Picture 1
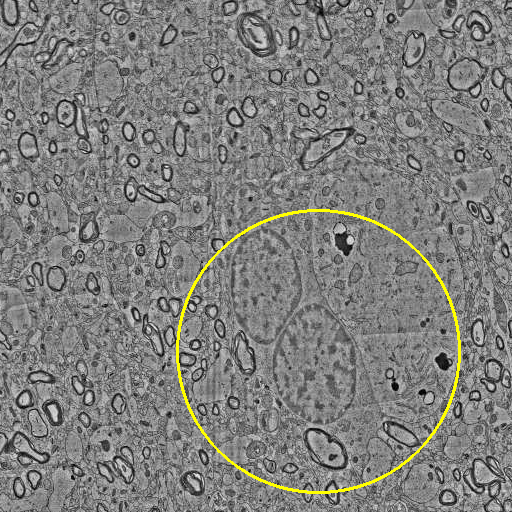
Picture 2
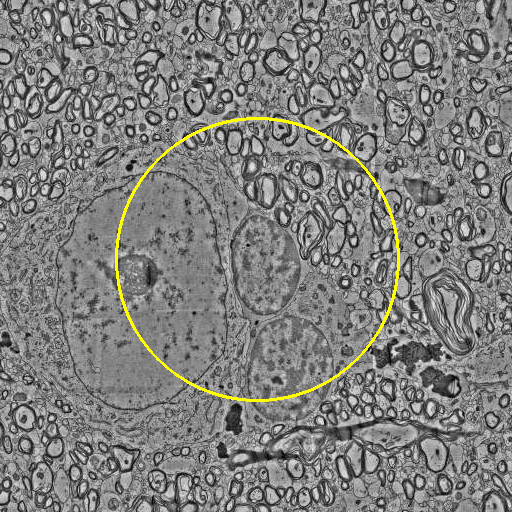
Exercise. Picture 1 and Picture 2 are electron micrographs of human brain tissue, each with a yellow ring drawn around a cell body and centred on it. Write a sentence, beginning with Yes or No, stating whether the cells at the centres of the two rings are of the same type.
Yes, the cells at the centres of both rings are of the same type.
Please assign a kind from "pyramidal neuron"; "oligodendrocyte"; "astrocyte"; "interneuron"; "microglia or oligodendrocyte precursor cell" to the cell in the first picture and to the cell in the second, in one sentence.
Each cell at the centre of a ring is an oligodendrocyte.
